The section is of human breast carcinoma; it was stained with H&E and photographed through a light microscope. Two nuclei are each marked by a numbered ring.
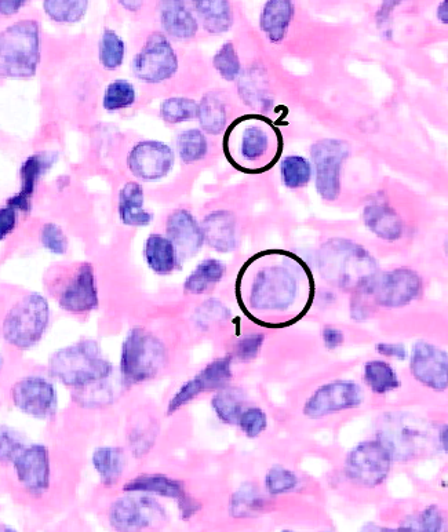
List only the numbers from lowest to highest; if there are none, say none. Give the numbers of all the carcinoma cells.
1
